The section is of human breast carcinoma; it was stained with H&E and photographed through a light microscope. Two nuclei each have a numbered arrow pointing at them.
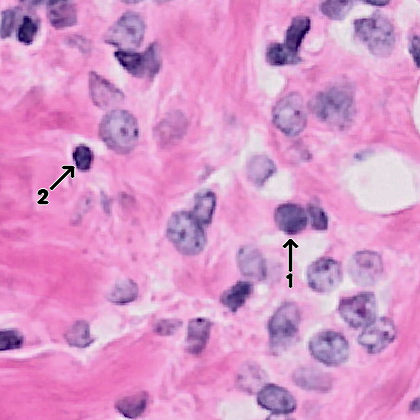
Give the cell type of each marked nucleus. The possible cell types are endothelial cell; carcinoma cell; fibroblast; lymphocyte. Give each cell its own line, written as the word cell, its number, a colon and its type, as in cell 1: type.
cell 1: carcinoma cell
cell 2: lymphocyte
